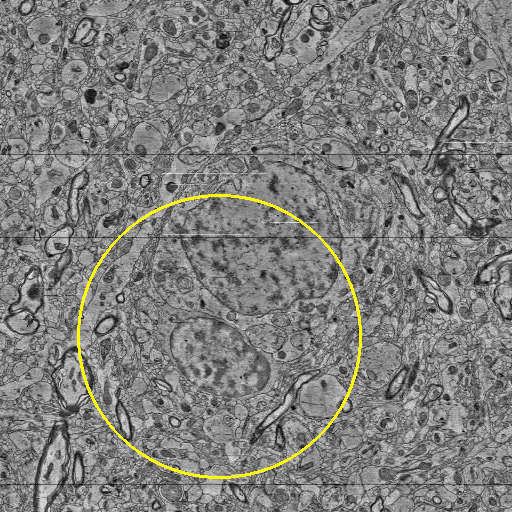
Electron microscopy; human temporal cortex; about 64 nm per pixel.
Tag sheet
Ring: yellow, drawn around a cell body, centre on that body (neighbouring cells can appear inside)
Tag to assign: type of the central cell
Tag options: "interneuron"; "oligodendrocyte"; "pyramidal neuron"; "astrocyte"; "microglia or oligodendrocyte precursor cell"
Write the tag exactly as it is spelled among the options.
oligodendrocyte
